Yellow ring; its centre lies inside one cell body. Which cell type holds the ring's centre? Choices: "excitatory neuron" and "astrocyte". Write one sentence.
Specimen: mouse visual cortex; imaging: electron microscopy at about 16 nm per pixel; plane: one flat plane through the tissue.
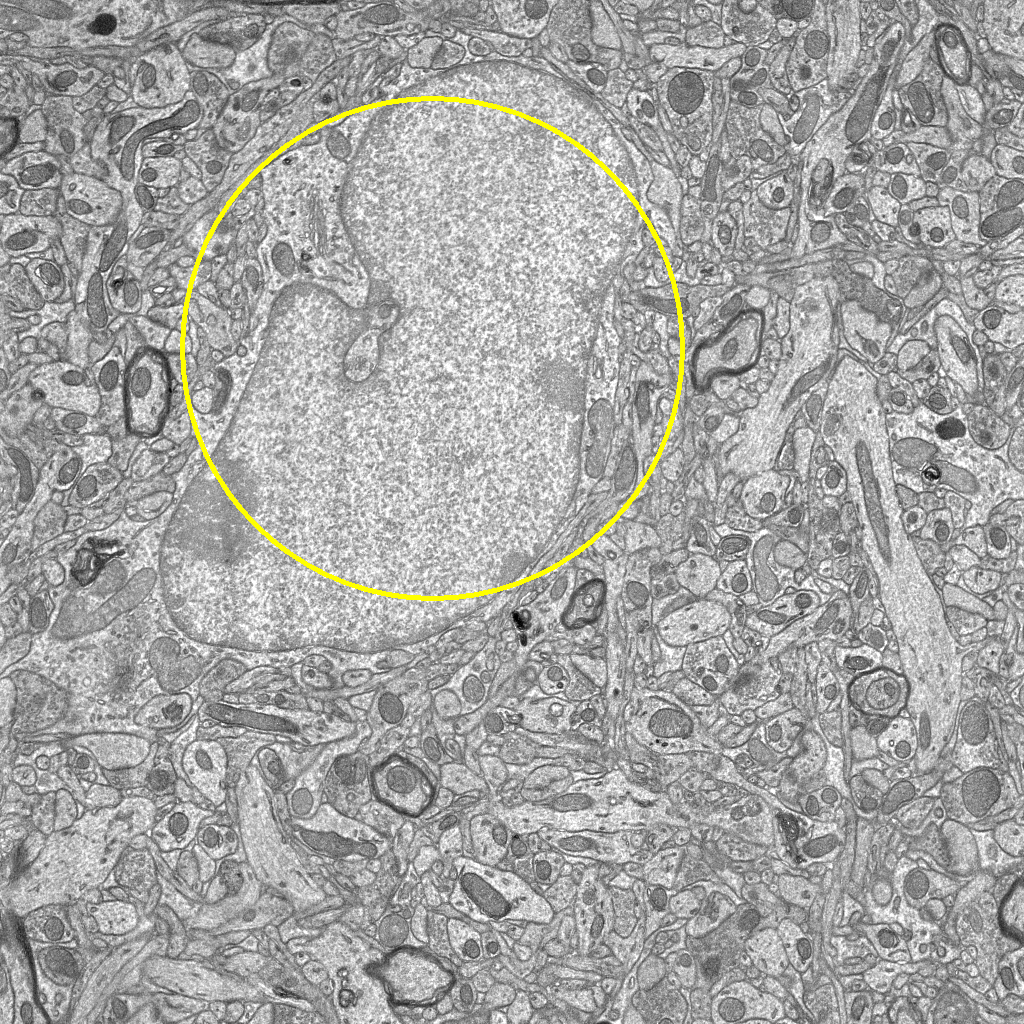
At the centre of the ring sits an astrocyte.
